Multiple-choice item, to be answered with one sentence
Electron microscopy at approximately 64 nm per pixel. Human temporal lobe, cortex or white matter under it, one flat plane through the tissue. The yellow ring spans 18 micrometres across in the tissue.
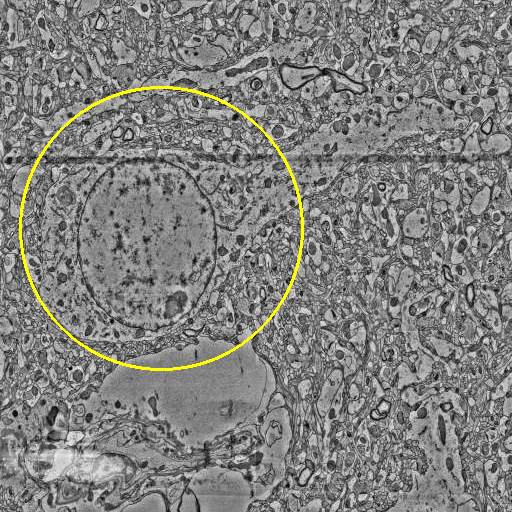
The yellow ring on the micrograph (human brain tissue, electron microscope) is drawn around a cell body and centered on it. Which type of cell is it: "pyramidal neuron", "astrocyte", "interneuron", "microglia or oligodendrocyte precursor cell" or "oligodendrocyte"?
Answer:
The ring is centered on a pyramidal neuron.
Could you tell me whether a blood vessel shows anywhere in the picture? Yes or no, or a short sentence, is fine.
Yes.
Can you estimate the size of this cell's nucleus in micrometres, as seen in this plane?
The nucleus measures about 11 by 9 micrometres in this plane.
